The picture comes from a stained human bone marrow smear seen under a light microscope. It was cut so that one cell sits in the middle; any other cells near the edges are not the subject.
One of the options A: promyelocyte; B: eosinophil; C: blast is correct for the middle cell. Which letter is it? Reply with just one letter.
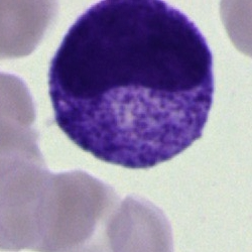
A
